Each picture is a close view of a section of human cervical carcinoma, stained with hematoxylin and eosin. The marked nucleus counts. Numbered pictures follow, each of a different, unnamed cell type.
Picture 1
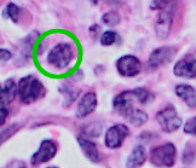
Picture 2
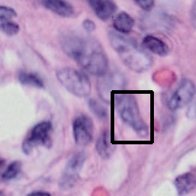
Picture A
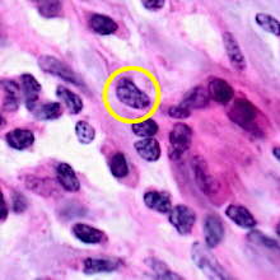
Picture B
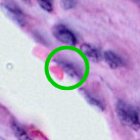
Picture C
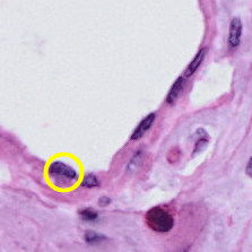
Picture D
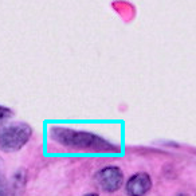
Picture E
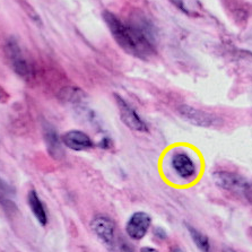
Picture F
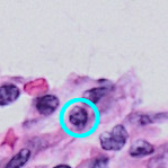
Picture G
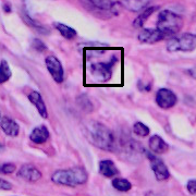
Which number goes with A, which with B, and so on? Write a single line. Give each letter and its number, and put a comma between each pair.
A 1, B 2, C 2, D 2, E 1, F 1, G 1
